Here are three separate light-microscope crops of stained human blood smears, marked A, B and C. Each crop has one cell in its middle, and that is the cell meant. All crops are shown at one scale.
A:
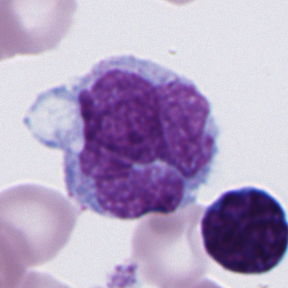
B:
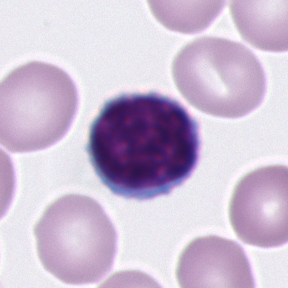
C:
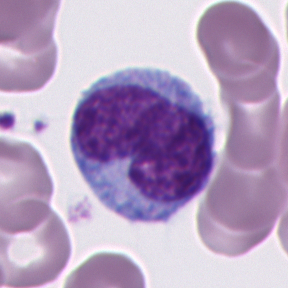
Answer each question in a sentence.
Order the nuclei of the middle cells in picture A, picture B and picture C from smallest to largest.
Smallest first: B, C, A.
